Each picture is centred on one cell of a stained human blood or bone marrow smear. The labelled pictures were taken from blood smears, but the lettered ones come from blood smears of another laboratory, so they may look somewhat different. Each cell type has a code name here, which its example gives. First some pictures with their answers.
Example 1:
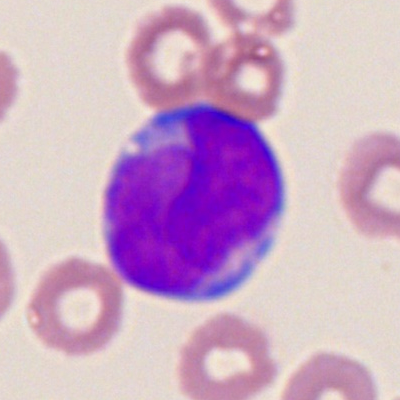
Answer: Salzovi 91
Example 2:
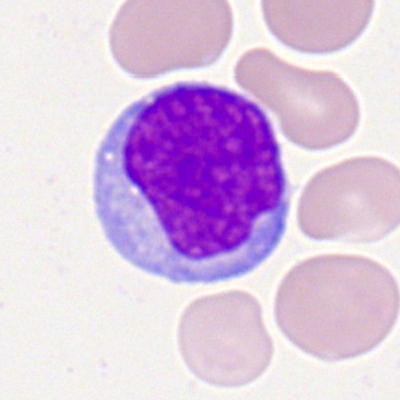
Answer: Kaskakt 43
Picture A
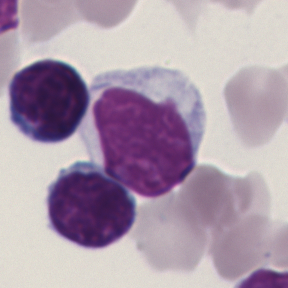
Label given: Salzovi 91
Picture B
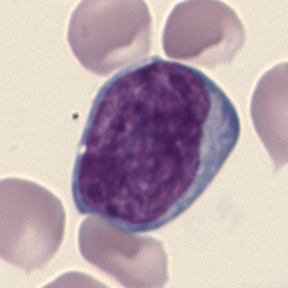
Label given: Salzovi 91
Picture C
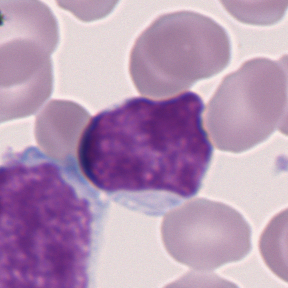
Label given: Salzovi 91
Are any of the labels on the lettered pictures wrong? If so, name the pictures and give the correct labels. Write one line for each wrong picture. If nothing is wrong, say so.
C should be Kaskakt 43, not Salzovi 91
